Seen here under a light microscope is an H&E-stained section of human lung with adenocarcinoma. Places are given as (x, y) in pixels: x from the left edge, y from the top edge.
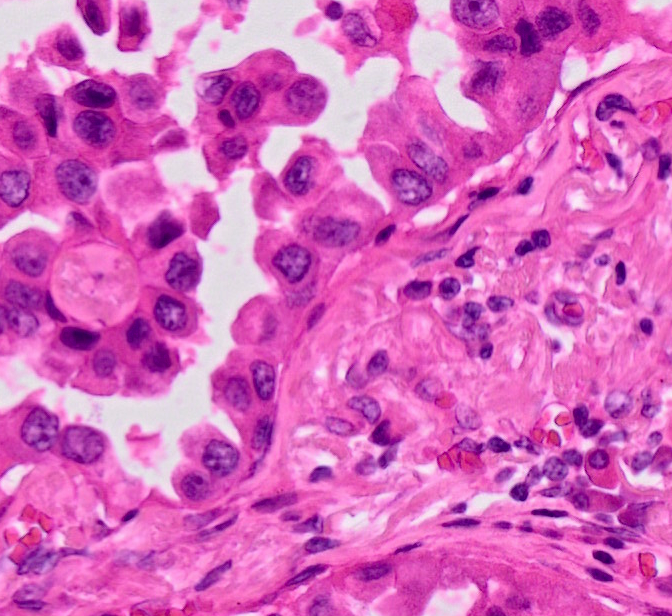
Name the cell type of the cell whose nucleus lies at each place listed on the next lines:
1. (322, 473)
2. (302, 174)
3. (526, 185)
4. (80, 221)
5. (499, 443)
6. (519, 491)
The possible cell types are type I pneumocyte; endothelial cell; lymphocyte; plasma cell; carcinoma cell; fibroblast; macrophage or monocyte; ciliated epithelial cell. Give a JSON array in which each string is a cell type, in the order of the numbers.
["lymphocyte", "carcinoma cell", "lymphocyte", "carcinoma cell", "lymphocyte", "lymphocyte"]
